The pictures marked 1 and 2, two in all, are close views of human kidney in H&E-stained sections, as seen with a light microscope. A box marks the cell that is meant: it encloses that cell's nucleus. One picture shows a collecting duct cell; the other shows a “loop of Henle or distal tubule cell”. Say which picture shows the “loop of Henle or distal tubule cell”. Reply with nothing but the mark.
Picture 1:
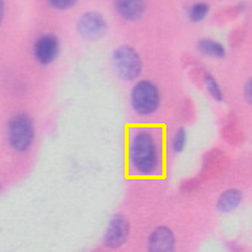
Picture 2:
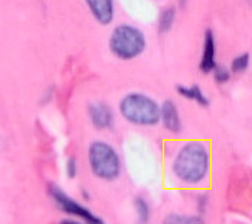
1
